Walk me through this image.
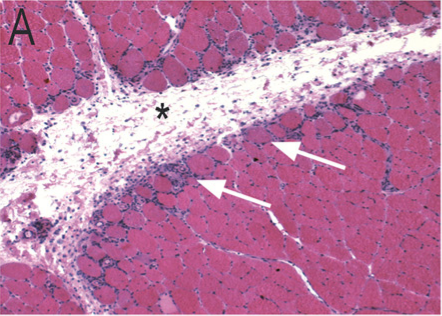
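Skeletal muscle in cross section shows fascicles of pink polygonal myofibers separated by a wide, pale band of perimysial connective tissue. The connective tissue band looks loose and fragmented, with clear open spaces. Numerous small dark nuclei of inflammatory cells crowd the perimysium and the endomysium between the peripheral fibers.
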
